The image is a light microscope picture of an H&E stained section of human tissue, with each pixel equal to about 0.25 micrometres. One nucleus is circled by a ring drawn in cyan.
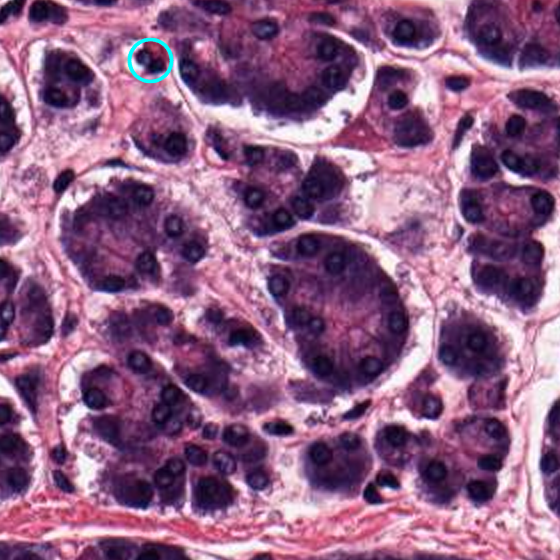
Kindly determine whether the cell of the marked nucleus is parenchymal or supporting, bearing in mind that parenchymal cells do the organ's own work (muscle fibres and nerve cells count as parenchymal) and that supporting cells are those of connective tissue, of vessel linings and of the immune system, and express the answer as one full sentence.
It is in a supporting cell that the marked nucleus lies.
